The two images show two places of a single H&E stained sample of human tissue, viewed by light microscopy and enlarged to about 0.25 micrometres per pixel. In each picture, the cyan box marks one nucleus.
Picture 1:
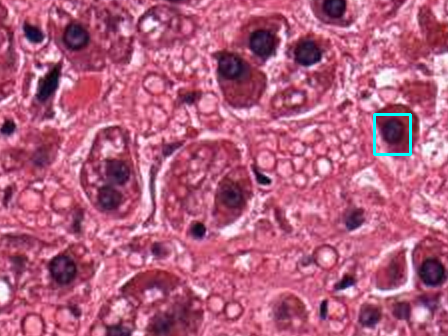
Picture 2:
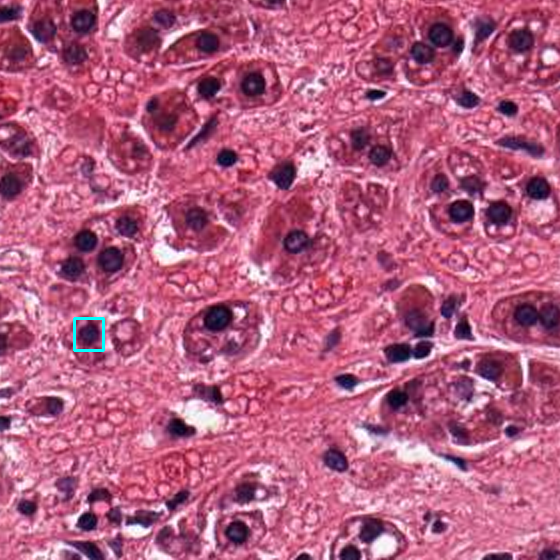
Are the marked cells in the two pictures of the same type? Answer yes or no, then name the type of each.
Yes, both are adrenal cortical cells.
